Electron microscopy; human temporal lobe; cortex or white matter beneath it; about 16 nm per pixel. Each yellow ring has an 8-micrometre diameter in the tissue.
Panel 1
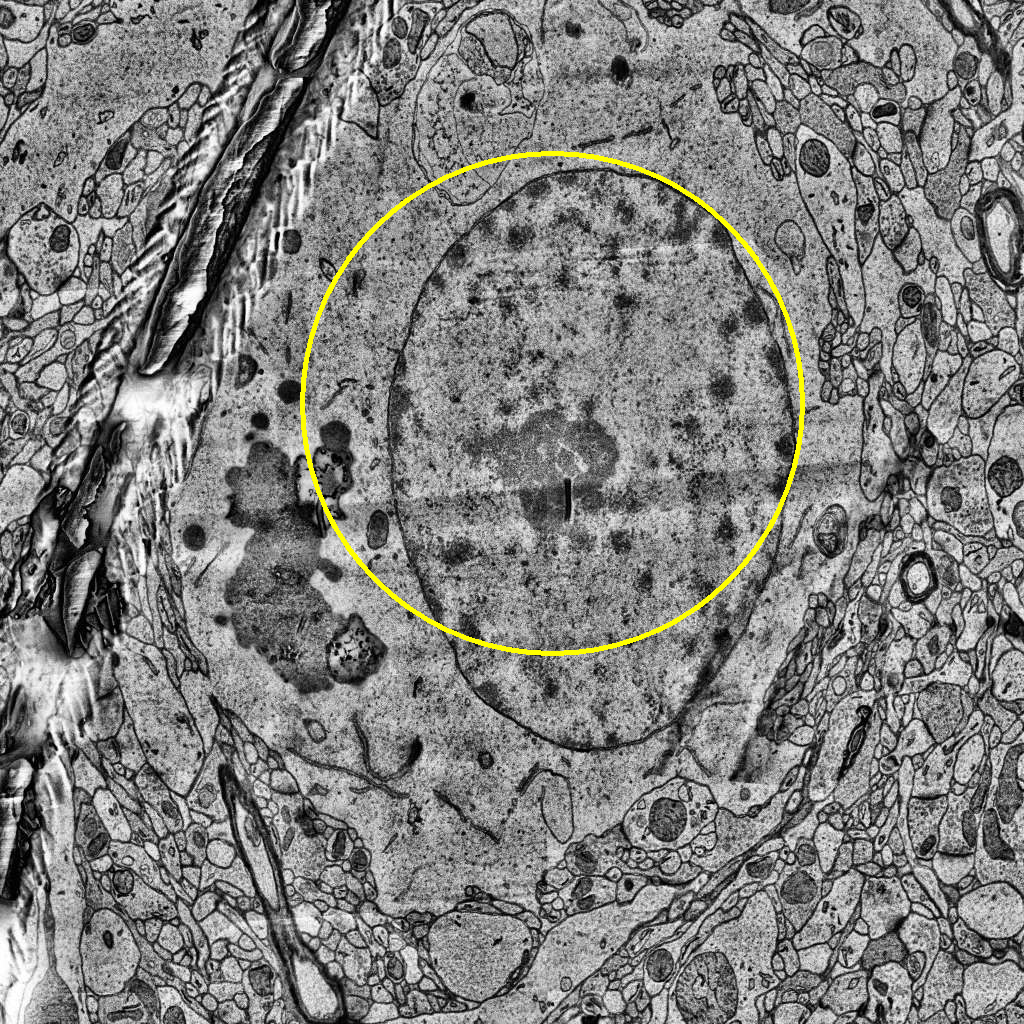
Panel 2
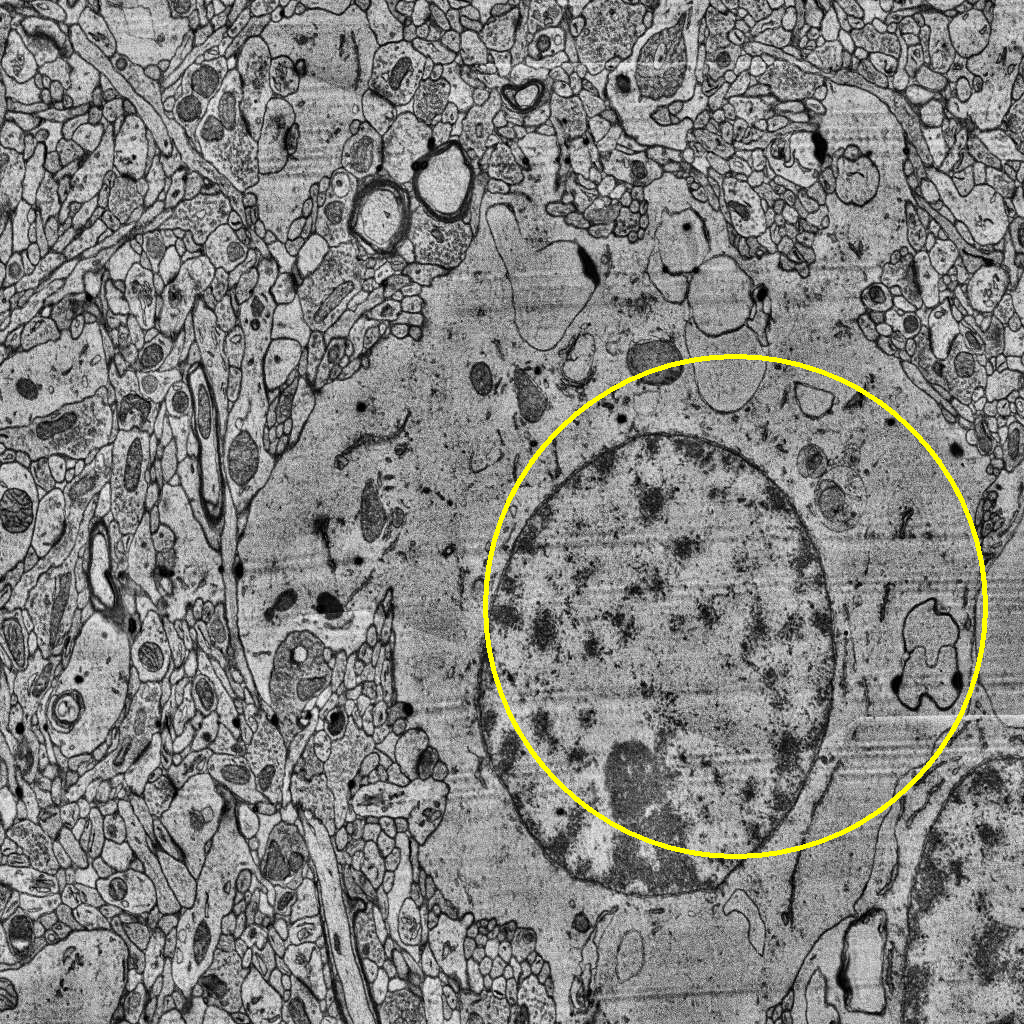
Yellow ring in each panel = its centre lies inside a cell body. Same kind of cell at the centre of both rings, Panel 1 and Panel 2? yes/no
yes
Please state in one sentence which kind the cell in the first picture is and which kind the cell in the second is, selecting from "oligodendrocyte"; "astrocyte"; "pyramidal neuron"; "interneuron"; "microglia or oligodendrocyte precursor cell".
Each cell, in the first picture and the second, is an astrocyte.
